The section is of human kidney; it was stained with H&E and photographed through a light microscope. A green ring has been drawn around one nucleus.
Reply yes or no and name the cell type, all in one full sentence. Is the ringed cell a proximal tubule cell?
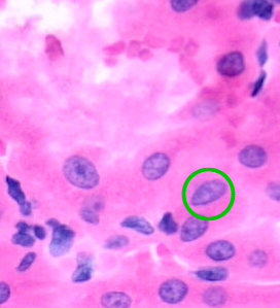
Yes, the ringed cell is a proximal tubule cell by cell type.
